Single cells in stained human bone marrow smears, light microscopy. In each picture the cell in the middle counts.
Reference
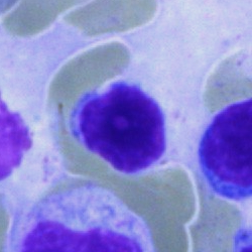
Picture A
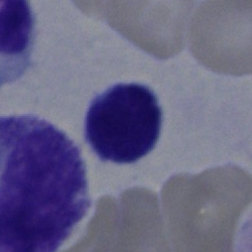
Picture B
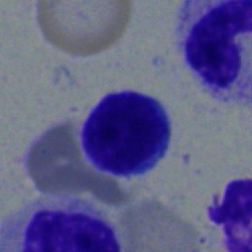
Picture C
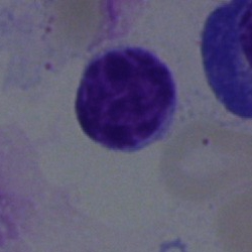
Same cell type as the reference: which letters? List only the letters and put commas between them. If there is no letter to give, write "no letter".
A, B, C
